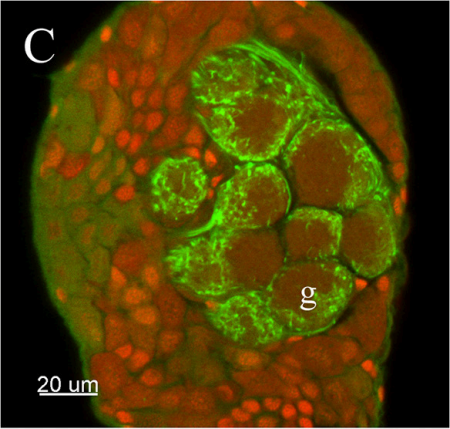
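A section through an insect antennal lobe shows a central cluster of rounded, roughly spherical compartments, the glomeruli, each rimmed and speckled with green fibrous signal while their cores stay dull red-brown. Around this cluster lies a rind of cell bodies whose nuclei show as small, bright red ovals, densest along the lower and left edges. Fine green fibre bundles sweep in from the upper part toward the glomeruli. Discrete glomeruli enclosed by a layer of nucleated cell bodies is the typical architecture of an antennal lobe.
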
